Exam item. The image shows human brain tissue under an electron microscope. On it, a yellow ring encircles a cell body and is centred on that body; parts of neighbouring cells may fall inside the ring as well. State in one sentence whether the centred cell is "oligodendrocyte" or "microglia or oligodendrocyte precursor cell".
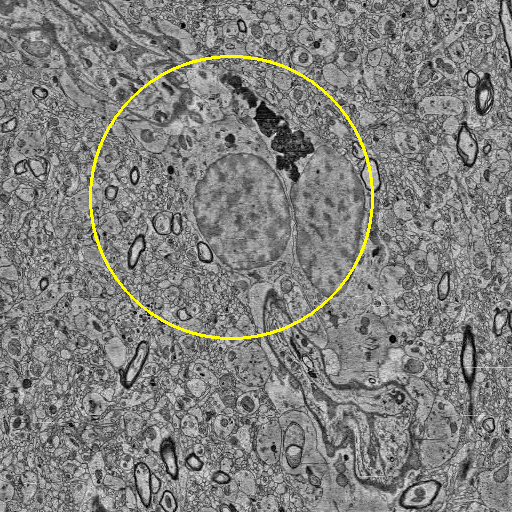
The cell body centred in the ring is an oligodendrocyte.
